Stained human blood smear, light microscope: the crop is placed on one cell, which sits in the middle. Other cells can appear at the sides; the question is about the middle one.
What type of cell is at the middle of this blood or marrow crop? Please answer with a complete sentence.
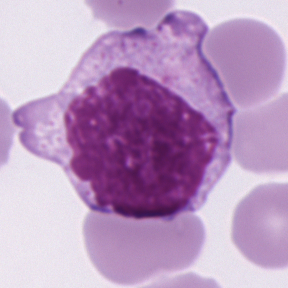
The cell at the central position in this crop is a myelocyte.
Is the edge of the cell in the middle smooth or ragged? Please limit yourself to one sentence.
The cell is outlined unevenly, the border being ragged or extended into projections.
